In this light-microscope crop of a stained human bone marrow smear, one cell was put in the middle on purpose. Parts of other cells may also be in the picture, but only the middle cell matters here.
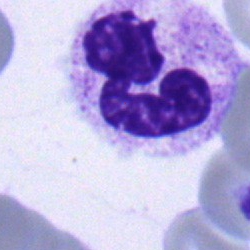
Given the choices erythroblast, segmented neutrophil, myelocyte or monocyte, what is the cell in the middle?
segmented neutrophil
